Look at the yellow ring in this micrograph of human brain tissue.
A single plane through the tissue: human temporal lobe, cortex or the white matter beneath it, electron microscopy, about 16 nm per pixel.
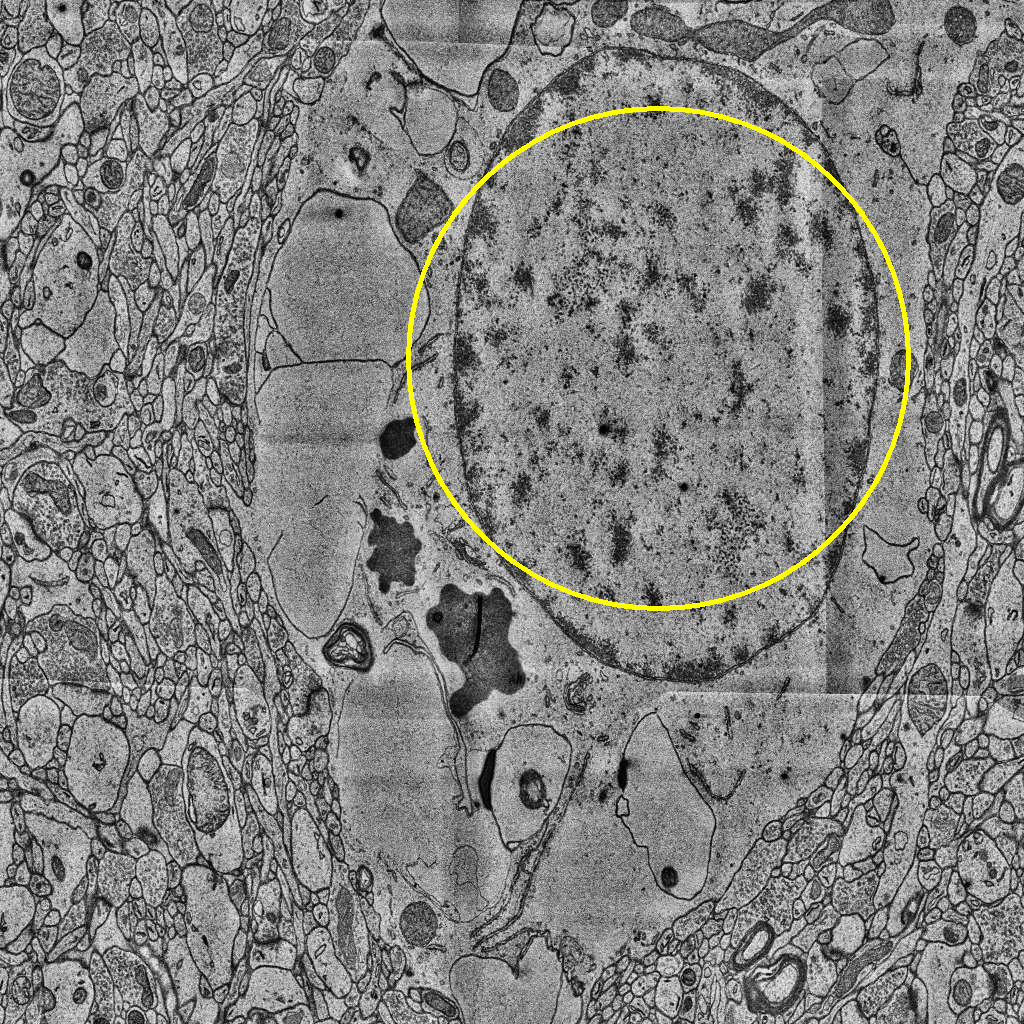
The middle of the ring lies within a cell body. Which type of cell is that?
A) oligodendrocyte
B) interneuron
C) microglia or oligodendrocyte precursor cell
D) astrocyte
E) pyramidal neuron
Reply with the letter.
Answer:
D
